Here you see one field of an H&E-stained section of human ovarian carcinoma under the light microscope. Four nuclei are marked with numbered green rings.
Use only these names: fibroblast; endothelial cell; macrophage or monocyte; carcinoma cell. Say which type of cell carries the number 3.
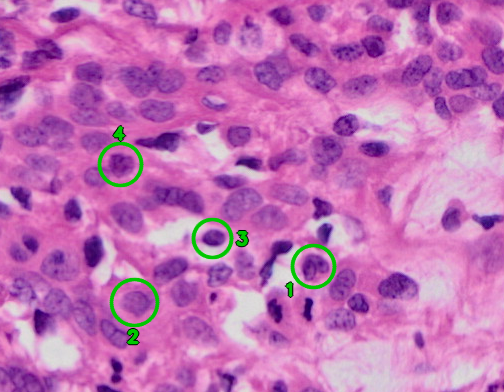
carcinoma cell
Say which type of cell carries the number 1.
macrophage or monocyte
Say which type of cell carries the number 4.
carcinoma cell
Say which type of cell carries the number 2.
carcinoma cell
